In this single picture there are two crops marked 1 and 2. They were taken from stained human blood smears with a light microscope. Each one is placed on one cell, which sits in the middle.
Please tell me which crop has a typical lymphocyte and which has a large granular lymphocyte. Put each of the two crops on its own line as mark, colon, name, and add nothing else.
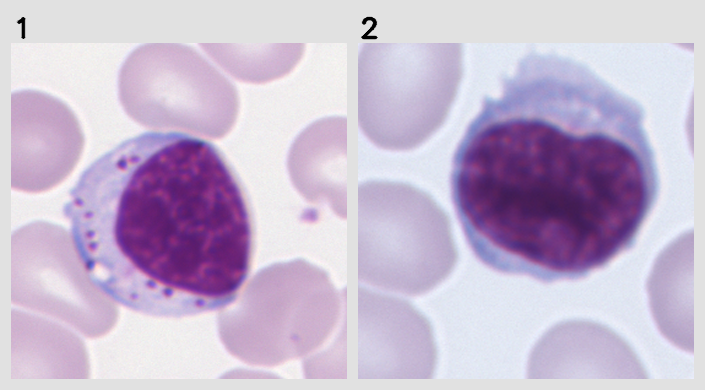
1: large granular lymphocyte
2: typical lymphocyte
